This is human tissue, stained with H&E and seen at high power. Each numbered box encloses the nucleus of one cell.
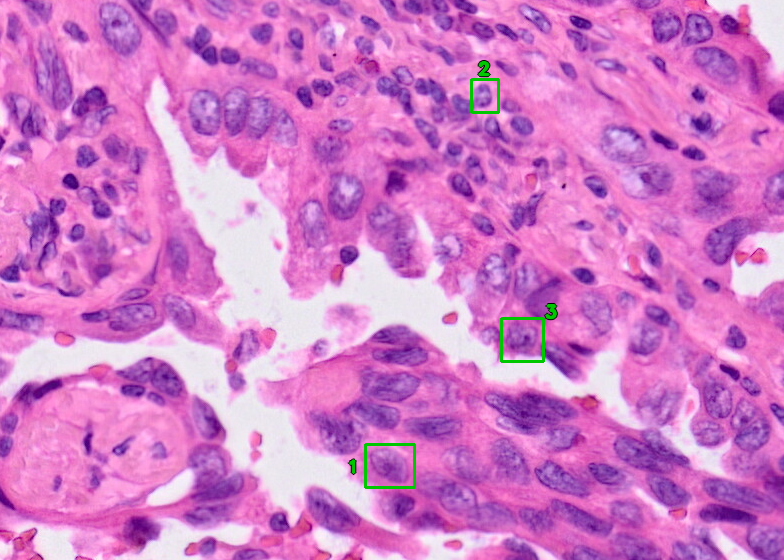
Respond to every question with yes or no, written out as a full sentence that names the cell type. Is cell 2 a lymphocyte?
Yes, the nucleus numbered 2 belongs to a lymphocyte.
